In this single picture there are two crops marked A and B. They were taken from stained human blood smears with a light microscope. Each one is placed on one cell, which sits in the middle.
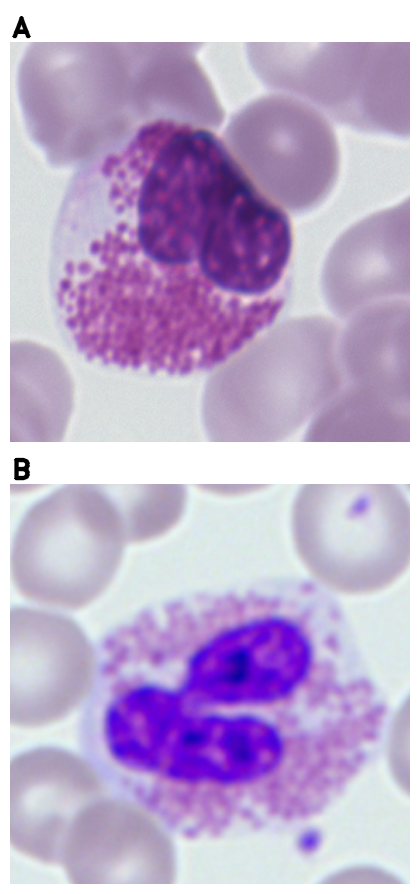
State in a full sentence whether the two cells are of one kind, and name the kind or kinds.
Yes, in short, both crops show eosinophils.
